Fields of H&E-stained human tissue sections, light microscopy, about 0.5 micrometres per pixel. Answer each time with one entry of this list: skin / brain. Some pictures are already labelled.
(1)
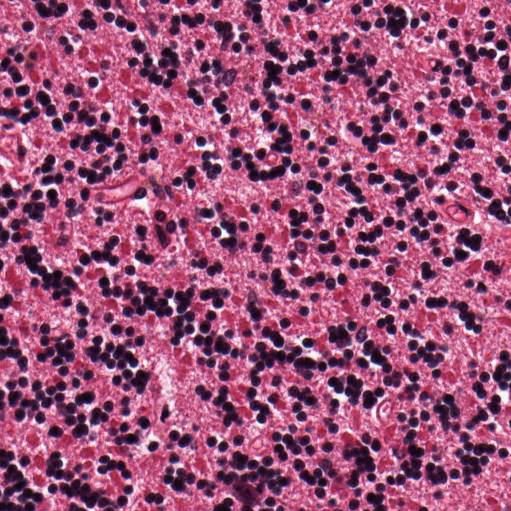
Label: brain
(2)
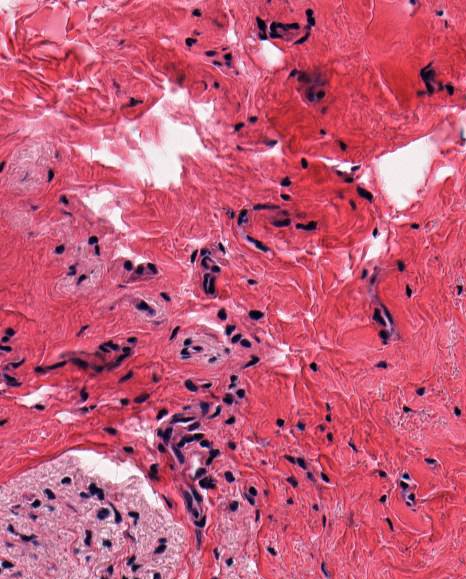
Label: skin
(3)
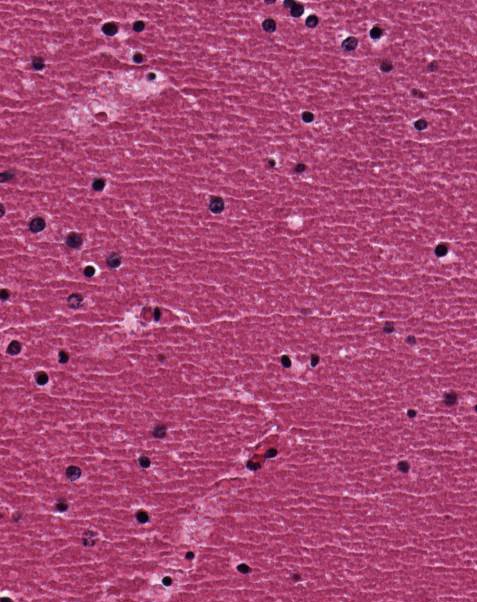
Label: brain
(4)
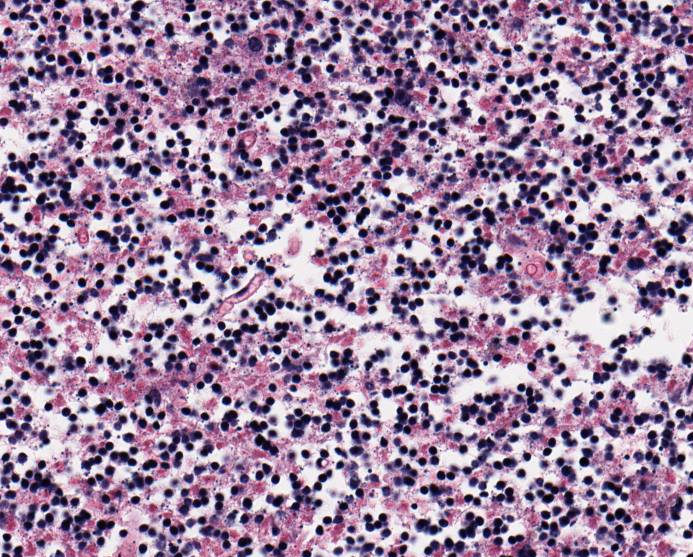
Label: brain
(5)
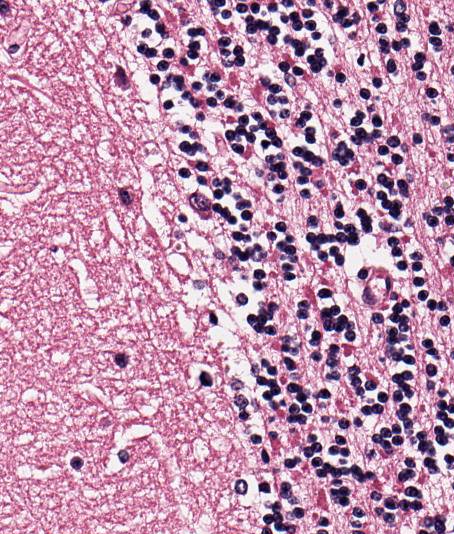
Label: brain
